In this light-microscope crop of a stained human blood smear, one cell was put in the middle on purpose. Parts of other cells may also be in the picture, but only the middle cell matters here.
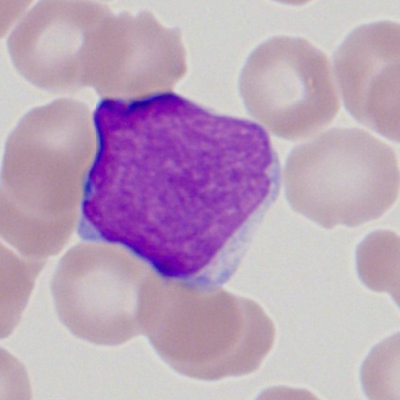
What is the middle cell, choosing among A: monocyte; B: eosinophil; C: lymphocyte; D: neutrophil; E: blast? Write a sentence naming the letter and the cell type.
Correctly, option E names the cell in the middle a blast.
